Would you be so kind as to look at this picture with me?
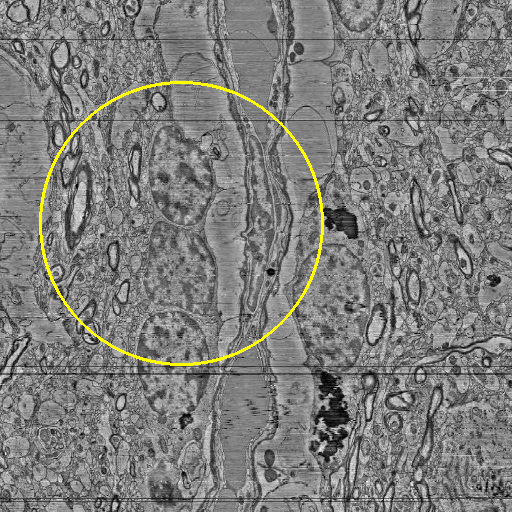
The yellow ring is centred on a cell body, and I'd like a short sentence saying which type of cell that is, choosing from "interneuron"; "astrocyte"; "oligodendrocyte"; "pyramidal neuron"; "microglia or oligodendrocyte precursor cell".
The cell body in the ring belongs to an oligodendrocyte.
